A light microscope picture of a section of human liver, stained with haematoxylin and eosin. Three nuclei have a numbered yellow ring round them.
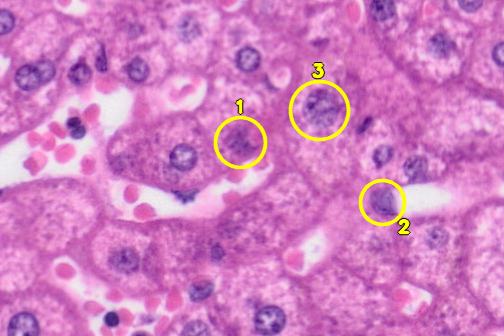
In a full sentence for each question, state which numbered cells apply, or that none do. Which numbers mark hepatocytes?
The cells numbered 1 and 3 fall into the category of hepatocytes.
